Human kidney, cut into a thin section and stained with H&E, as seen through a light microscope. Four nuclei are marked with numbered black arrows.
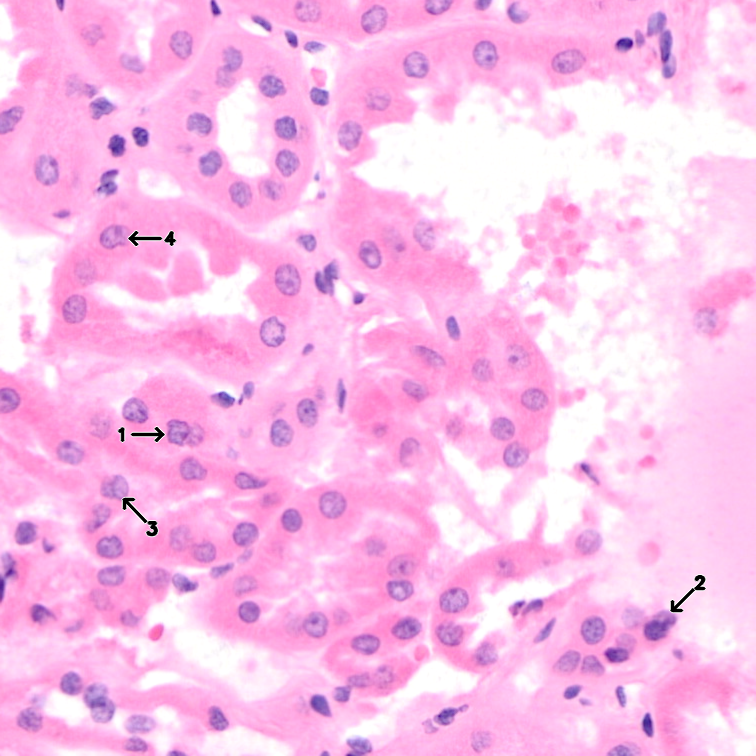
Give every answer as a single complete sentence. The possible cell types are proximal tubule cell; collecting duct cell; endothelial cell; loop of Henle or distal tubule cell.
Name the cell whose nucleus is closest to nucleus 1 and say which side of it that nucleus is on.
Lying to the right of nucleus 1, the nearest nucleus is that of a proximal tubule cell.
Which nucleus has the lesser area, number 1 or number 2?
Number 1 is smaller, since number 2 takes up about 1.5 times as much area.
